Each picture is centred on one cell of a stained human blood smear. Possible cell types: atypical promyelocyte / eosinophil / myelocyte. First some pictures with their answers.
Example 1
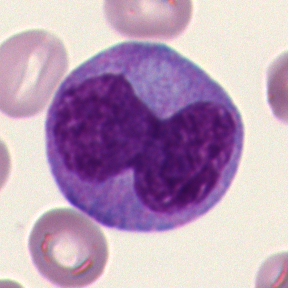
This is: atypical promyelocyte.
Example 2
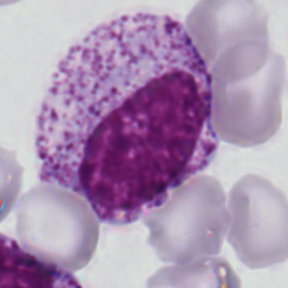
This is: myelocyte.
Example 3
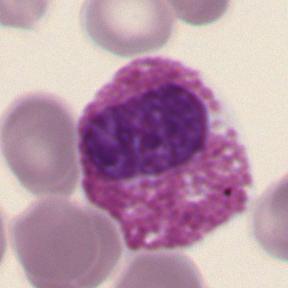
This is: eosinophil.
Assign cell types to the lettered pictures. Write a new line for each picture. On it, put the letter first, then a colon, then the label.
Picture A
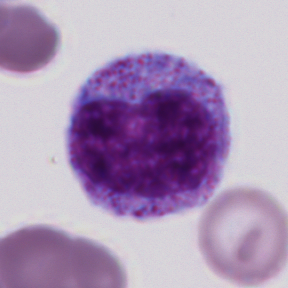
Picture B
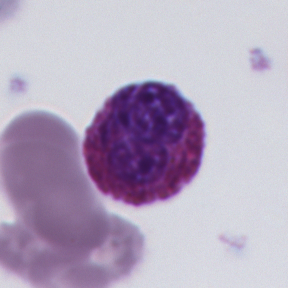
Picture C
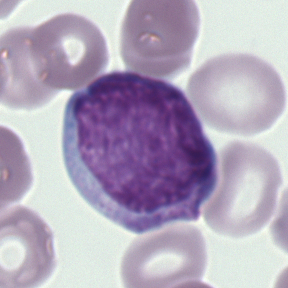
A: myelocyte.
B: eosinophil.
C: atypical promyelocyte.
